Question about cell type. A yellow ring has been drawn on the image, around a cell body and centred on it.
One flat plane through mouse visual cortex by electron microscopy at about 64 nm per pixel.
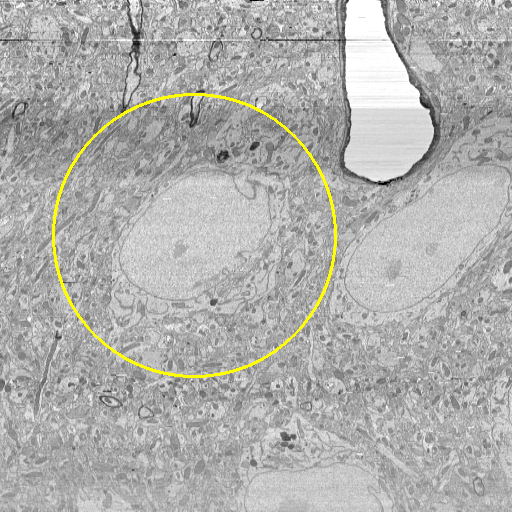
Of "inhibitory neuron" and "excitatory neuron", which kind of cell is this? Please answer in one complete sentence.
At the centre of the ring lies an inhibitory neuron.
